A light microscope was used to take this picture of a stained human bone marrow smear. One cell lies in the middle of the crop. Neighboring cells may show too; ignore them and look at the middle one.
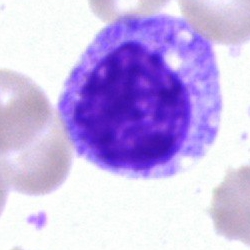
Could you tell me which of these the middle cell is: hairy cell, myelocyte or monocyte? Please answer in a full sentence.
This crop is built around a myelocyte at its centre.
